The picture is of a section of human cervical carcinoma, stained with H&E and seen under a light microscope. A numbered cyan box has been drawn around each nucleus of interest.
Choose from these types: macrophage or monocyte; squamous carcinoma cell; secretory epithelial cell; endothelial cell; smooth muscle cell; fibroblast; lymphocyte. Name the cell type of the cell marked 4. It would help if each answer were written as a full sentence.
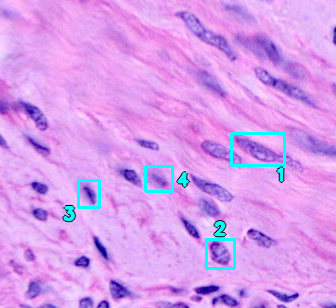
In the marked set, the cell given number 4 is a smooth muscle cell.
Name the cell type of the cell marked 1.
Cell 1 in the field is a smooth muscle cell.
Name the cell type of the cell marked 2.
The cell that bears the number 2 is a smooth muscle cell.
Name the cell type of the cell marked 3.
The cell identified by the number 3 is a fibroblast.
